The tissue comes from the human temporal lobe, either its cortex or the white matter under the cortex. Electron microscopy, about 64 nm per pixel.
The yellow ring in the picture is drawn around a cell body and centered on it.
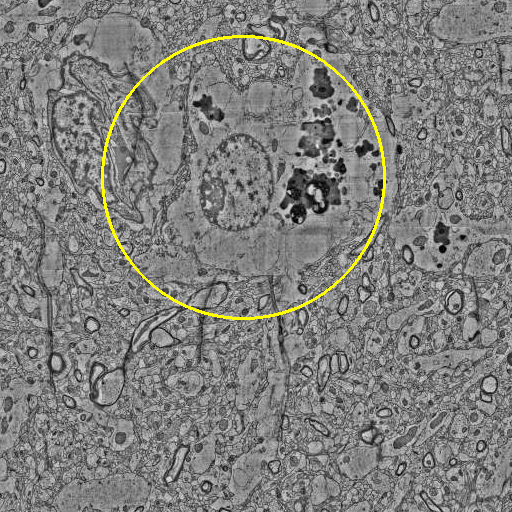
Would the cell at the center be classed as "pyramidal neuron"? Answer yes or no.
No, it belongs to another class.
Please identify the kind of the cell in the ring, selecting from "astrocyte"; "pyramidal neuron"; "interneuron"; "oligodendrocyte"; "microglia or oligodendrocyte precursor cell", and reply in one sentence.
Instead, the ring surrounds an astrocyte in this picture.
